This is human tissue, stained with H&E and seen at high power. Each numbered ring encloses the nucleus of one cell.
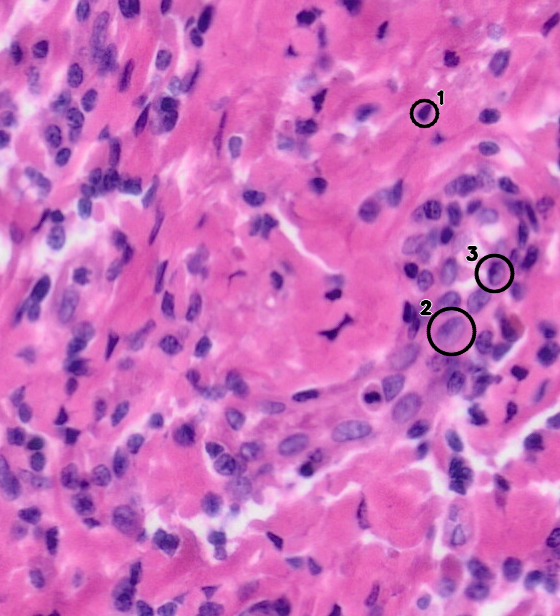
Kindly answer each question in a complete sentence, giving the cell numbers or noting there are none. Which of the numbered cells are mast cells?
The one cell that is a mast cell is cell 1, and no other.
